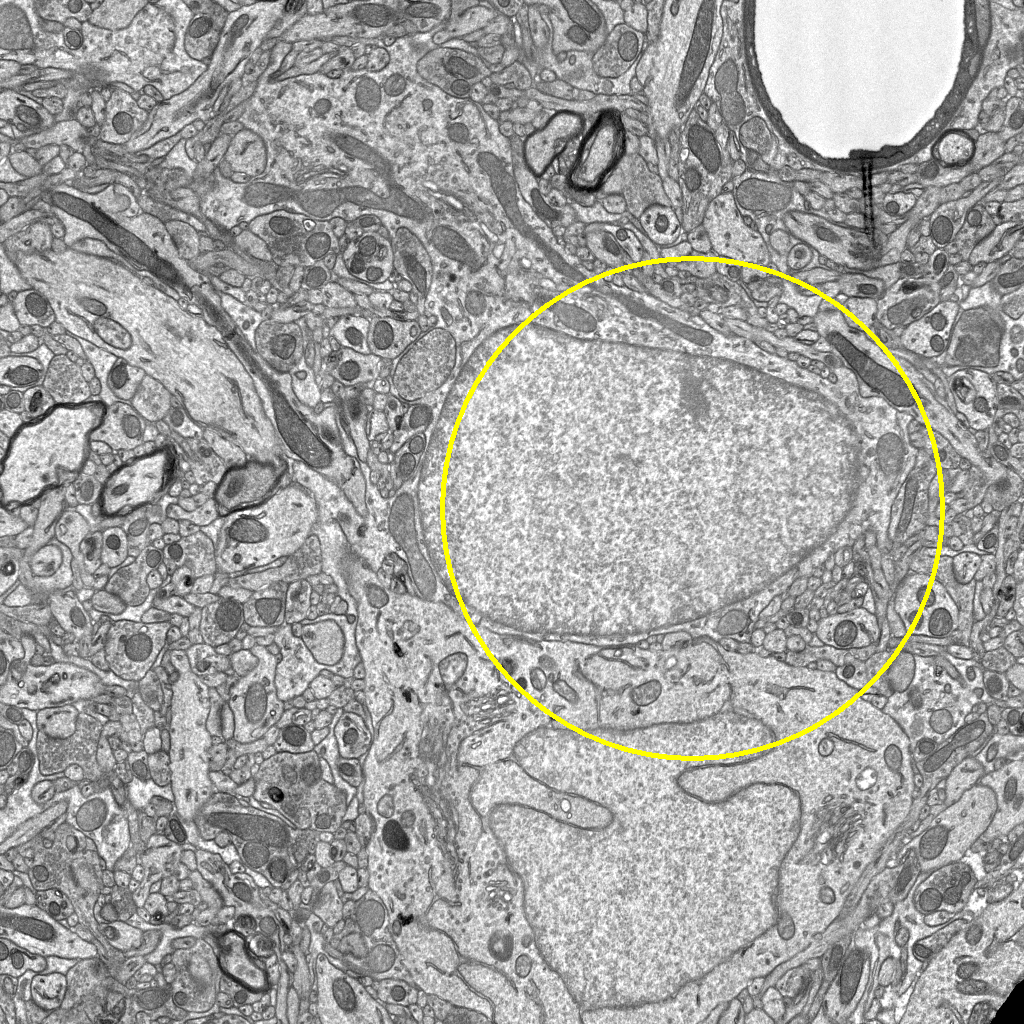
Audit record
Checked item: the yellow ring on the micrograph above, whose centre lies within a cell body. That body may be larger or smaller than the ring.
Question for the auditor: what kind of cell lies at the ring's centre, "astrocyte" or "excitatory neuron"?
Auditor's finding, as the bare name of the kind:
astrocyte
